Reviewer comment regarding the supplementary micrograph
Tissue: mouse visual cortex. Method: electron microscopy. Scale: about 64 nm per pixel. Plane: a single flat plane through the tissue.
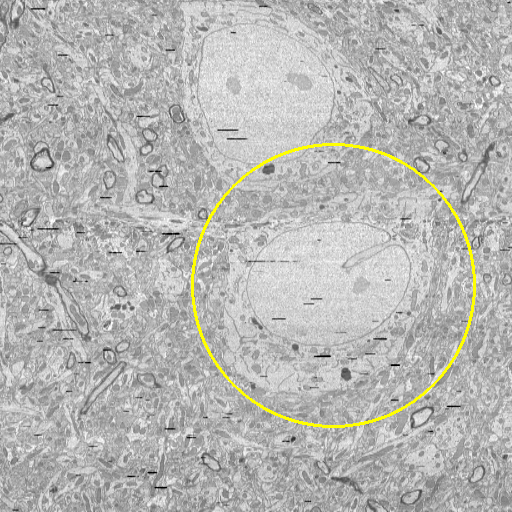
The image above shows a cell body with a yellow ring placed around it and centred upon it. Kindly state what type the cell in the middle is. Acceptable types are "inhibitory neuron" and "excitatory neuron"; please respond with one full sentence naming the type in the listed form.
In the image above, the cell on which the yellow ring is centred is an excitatory neuron.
